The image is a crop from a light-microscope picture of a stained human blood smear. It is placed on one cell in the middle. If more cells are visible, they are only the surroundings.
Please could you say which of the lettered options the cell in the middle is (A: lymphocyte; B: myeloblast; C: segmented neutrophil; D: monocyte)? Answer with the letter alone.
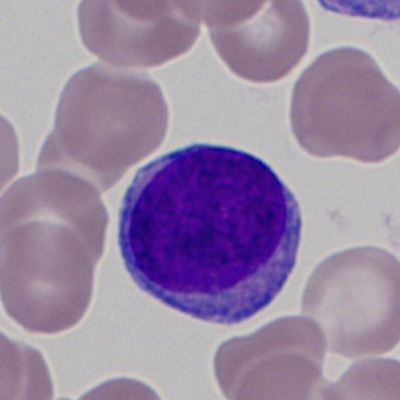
B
